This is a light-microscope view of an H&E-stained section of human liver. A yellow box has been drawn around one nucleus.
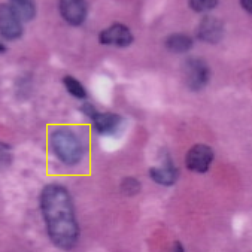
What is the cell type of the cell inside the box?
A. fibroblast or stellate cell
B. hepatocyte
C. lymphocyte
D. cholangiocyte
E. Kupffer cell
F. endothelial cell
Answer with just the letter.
D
